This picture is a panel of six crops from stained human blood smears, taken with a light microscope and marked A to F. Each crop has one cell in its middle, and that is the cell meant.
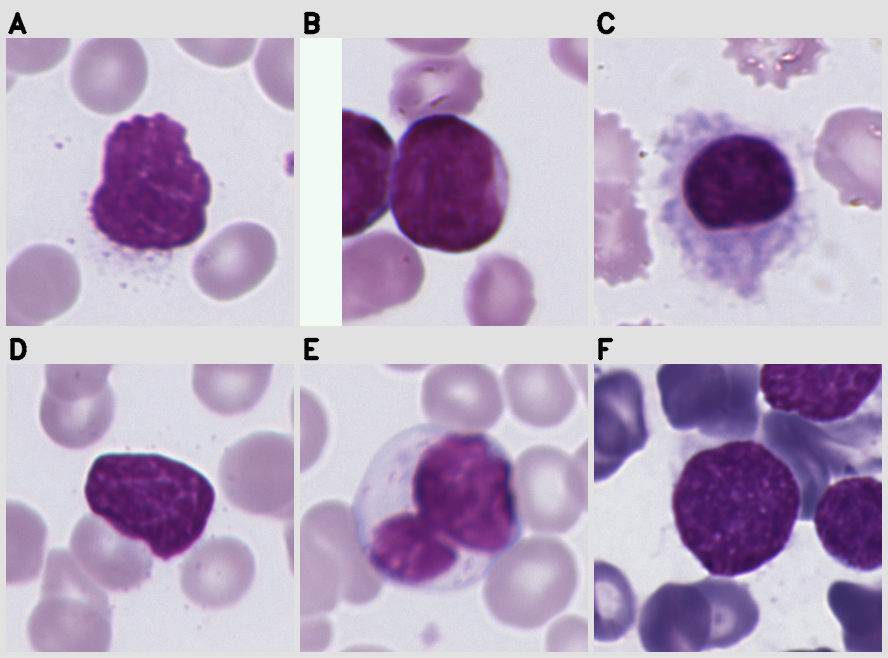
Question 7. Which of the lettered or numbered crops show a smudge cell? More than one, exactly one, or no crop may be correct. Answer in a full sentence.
The cells of interest in crops A and D are smudge cells.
